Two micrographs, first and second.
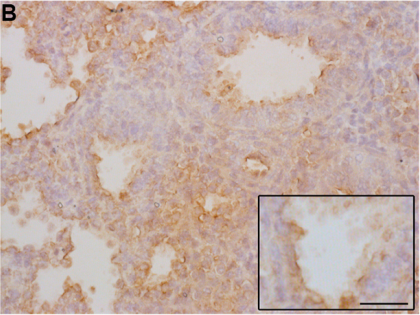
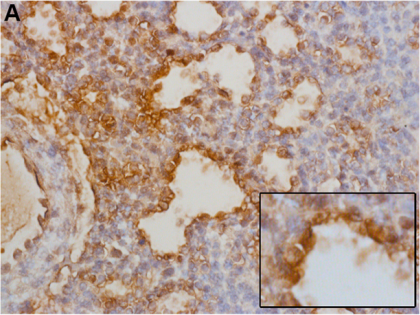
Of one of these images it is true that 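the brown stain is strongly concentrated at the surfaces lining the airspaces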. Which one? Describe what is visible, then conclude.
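Second image: dark brown stain clusters along the edges of the open spaces. That points to this answer: the second image.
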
